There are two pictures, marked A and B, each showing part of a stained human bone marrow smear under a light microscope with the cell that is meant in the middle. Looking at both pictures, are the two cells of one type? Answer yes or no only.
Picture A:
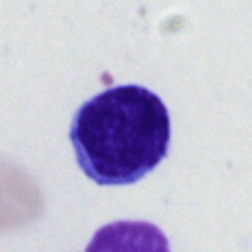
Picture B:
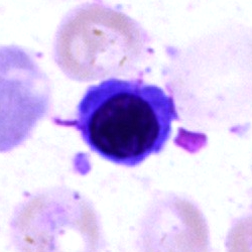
no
